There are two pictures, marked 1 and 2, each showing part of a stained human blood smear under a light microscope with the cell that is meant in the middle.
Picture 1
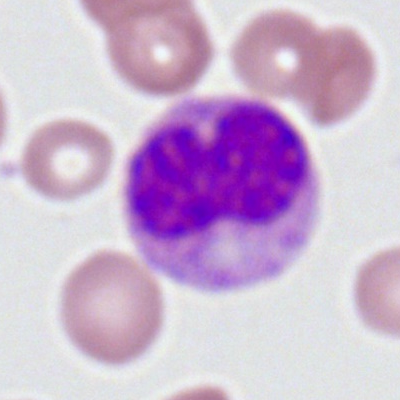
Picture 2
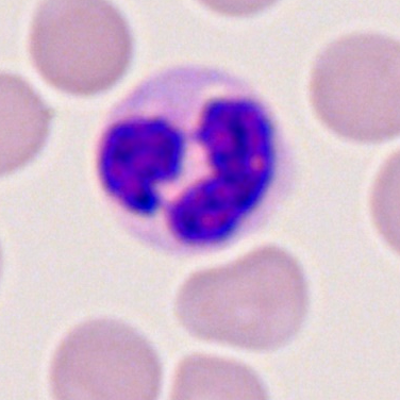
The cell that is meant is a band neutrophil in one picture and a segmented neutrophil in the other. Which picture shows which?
1: band neutrophil
2: segmented neutrophil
